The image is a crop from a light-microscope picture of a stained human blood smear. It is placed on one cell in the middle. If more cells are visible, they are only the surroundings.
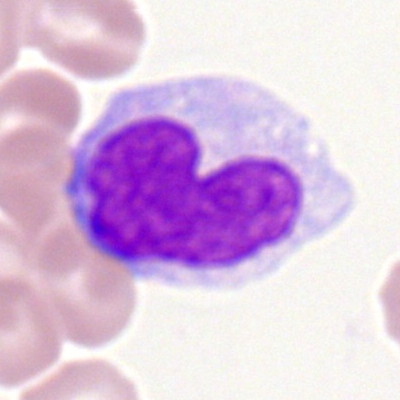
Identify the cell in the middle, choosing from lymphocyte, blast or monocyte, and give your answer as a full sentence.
At the middle of the frame sits a monocyte.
